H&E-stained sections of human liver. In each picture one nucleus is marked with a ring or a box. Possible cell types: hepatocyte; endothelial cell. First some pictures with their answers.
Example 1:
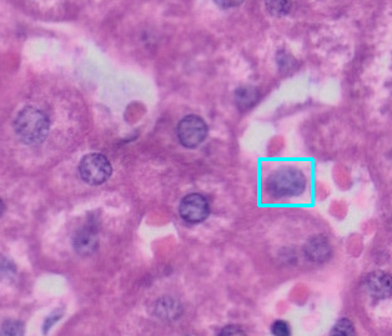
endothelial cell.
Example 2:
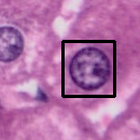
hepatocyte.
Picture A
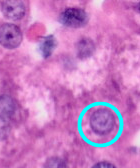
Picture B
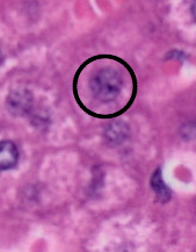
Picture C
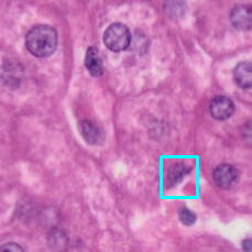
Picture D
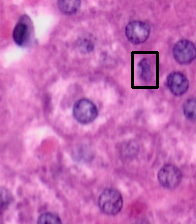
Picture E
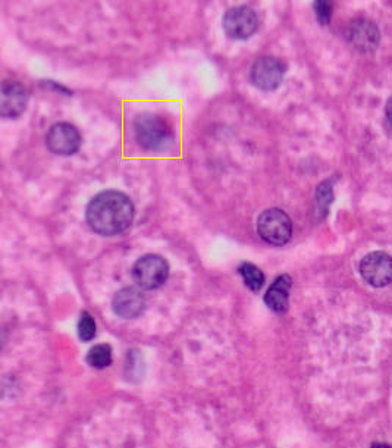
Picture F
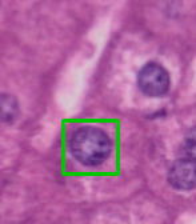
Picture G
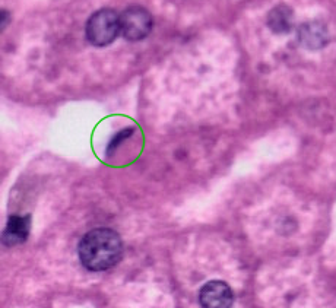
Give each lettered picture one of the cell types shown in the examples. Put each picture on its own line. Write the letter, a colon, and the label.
A: hepatocyte.
B: hepatocyte.
C: endothelial cell.
D: endothelial cell.
E: endothelial cell.
F: hepatocyte.
G: endothelial cell.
